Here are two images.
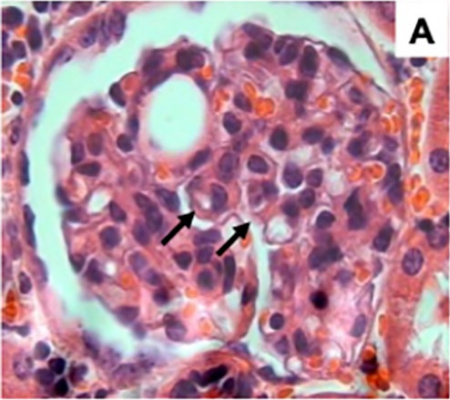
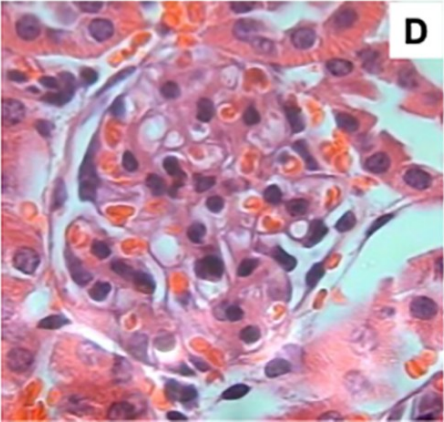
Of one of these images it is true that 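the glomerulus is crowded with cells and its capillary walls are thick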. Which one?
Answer: the first image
